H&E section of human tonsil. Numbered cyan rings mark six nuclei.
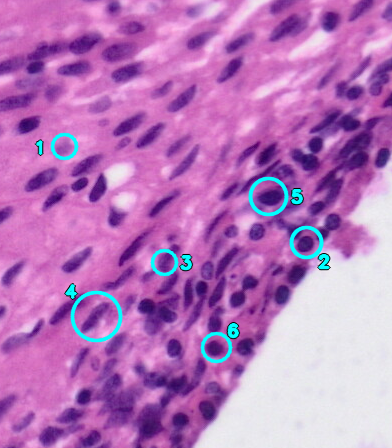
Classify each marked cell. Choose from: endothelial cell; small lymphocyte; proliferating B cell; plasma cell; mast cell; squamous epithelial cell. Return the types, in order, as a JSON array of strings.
["squamous epithelial cell", "plasma cell", "squamous epithelial cell", "squamous epithelial cell", "squamous epithelial cell", "plasma cell"]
